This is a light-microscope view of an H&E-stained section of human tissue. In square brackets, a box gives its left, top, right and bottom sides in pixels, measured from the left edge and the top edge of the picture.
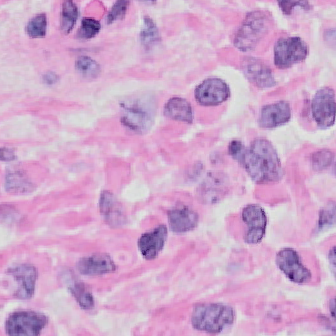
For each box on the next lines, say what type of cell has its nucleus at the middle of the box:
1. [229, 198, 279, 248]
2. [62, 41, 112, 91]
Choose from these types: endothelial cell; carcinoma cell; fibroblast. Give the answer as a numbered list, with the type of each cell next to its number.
1. carcinoma cell
2. endothelial cell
